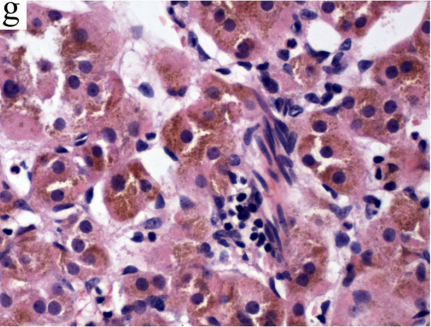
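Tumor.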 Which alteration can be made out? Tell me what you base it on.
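Golden-brown granular pigment fills the cytoplasm of many cells. The nuclei are round and lie beside the pigment. So: Lipofuscin pigmentation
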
